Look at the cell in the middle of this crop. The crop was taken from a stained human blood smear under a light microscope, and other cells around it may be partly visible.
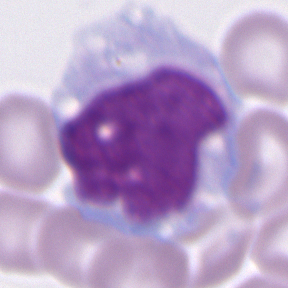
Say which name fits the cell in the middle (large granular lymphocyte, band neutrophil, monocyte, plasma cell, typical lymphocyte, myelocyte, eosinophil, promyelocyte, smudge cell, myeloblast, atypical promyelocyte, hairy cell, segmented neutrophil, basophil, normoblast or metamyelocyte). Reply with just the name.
monocyte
